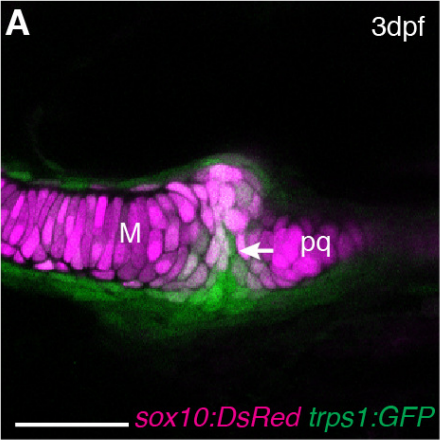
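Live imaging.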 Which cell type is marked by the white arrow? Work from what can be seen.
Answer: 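The arrow points to cells at the junction between two cartilage rods. The cells there are double labelled and appear whitish. No cavity separates the two elements. On this evidence: nascent joint chondrocytes.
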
